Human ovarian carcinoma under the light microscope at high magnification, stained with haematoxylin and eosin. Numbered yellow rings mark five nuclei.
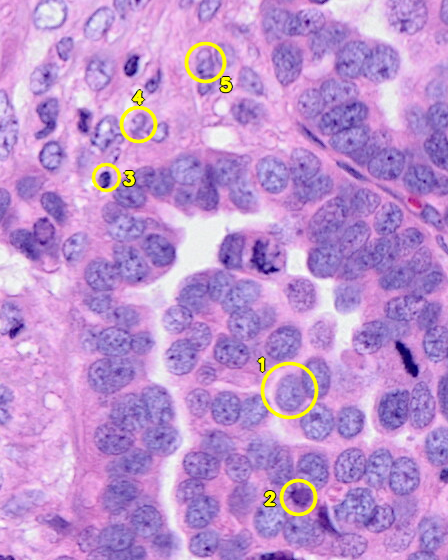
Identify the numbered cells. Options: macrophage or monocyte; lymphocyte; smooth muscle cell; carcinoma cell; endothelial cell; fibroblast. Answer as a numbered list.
1. carcinoma cell
2. carcinoma cell
3. lymphocyte
4. fibroblast
5. fibroblast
